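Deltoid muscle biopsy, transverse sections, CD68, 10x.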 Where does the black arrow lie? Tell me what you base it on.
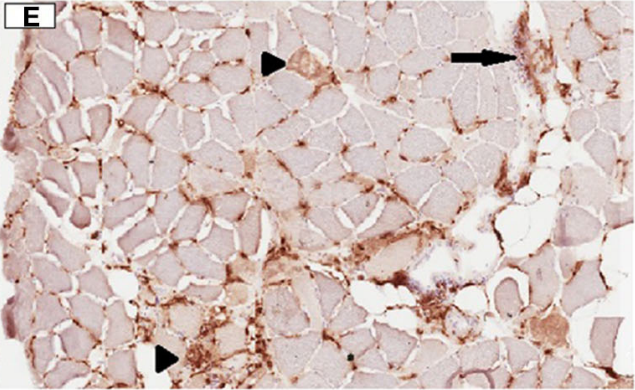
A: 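Perimysial/perivascular regions. Brown-stained cells gather in the wider connective tissue between fiber bundles.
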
